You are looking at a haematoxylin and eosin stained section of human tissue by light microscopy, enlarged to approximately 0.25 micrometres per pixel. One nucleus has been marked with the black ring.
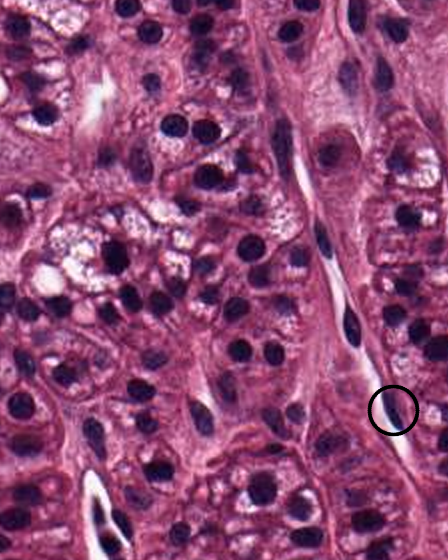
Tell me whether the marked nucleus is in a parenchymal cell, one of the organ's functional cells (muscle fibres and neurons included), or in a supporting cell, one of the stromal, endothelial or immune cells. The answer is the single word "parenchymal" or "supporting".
supporting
